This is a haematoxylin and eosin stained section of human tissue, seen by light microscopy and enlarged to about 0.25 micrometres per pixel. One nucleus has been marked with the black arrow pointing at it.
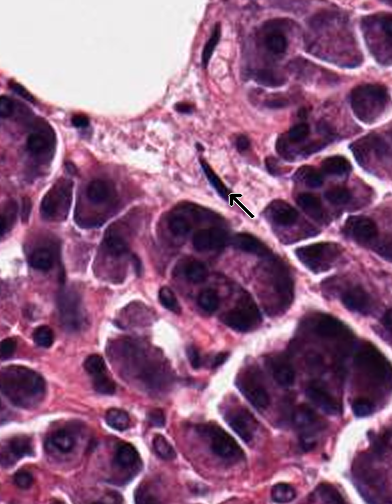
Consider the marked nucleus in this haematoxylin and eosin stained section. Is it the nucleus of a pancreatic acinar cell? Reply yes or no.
no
